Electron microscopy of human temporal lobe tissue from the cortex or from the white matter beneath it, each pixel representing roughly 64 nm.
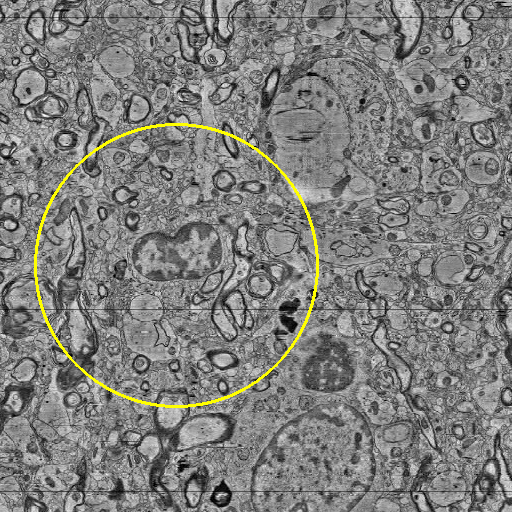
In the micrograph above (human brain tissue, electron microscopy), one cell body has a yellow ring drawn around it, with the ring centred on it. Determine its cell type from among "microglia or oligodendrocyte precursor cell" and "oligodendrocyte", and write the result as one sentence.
The cell whose body is ringed is a microglial cell or oligodendrocyte precursor cell.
